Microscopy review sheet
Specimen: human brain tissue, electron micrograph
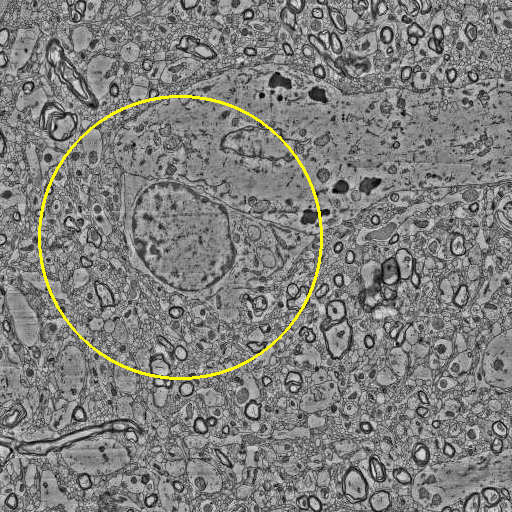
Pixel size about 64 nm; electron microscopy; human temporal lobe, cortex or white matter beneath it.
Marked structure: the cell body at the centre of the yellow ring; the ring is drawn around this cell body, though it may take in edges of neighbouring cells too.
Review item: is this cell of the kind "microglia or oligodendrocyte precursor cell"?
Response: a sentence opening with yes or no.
Yes, this cell is of that kind.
